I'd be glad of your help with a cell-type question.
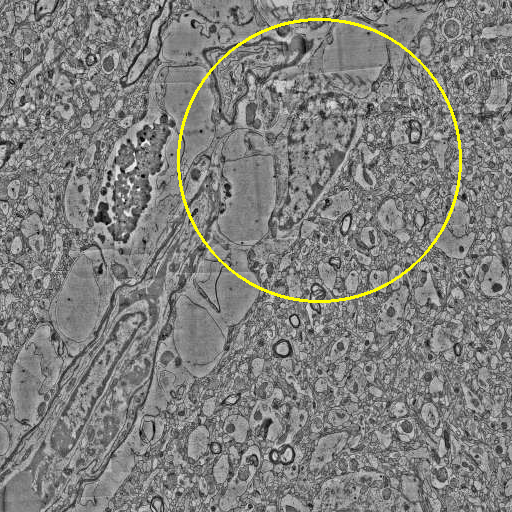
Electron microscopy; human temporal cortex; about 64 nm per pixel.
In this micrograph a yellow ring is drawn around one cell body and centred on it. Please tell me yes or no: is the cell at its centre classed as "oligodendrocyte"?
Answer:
no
